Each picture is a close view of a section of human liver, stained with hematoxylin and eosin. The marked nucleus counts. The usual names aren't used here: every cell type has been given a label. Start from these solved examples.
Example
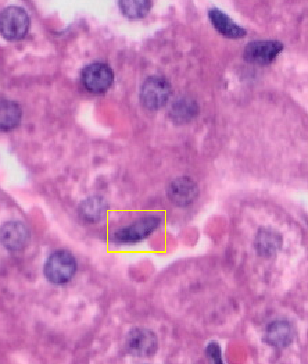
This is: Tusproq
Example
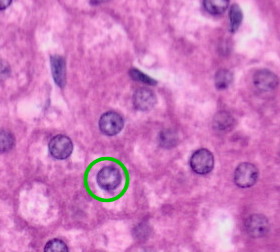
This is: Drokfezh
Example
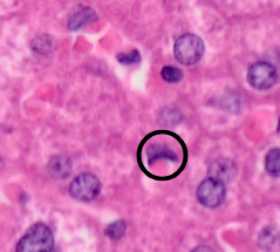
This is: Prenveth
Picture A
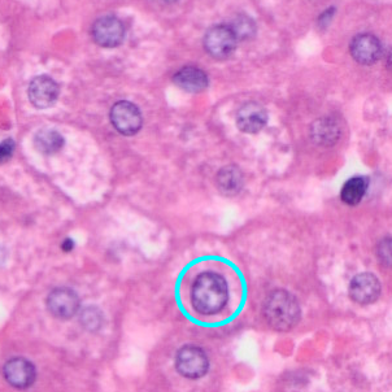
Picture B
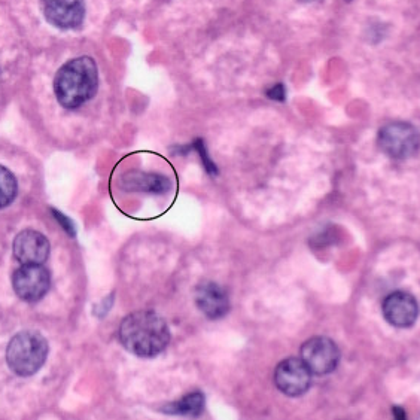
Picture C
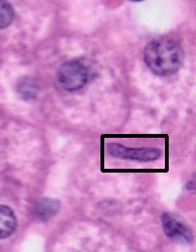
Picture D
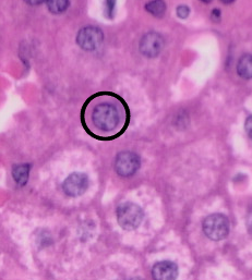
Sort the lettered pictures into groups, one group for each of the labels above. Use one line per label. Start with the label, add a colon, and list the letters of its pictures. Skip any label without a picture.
Tusproq: B, C
Drokfezh: A, D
